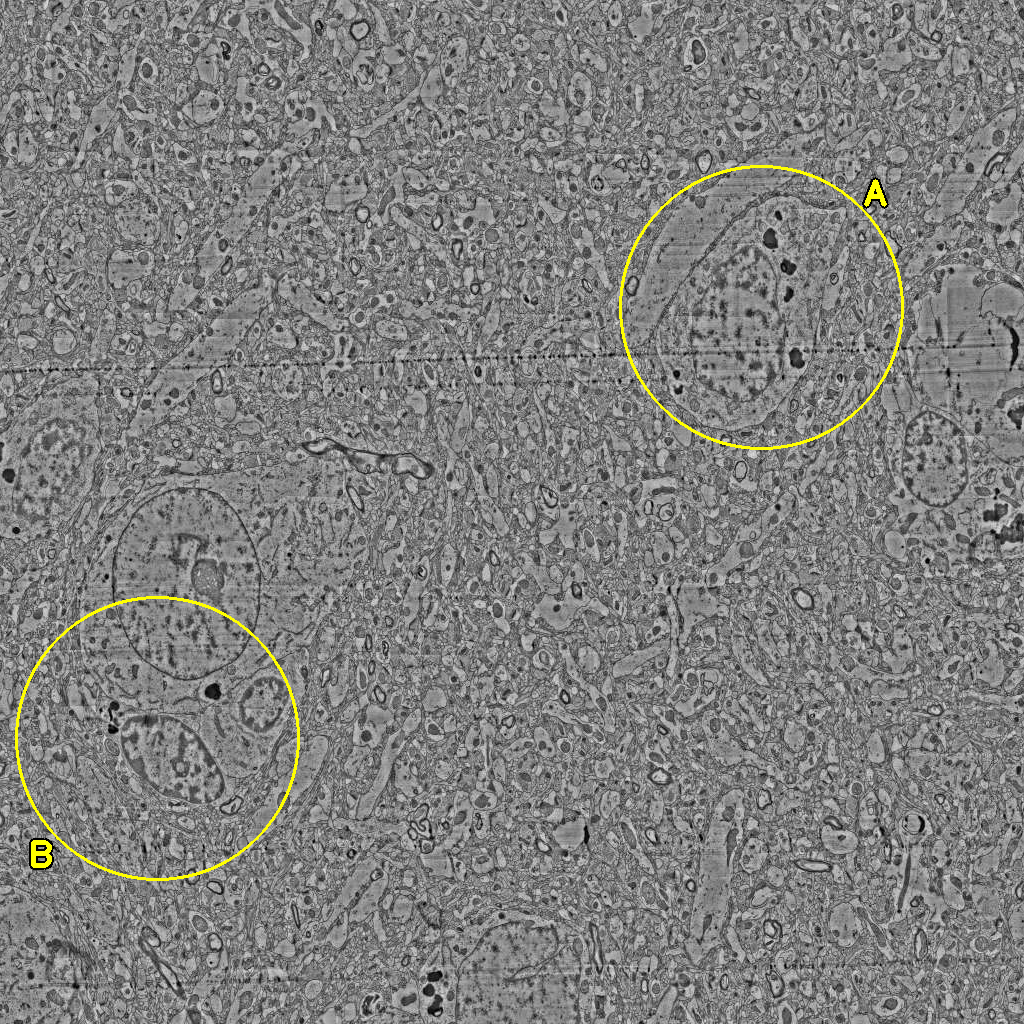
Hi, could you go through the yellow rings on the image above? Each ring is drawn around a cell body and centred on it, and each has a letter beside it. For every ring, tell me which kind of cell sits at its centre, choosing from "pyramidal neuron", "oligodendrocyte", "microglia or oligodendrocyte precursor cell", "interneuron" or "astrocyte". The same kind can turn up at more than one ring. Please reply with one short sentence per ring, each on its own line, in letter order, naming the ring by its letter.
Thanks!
Ring A is centred on an interneuron.
Ring B is centred on a microglial cell or oligodendrocyte precursor cell.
